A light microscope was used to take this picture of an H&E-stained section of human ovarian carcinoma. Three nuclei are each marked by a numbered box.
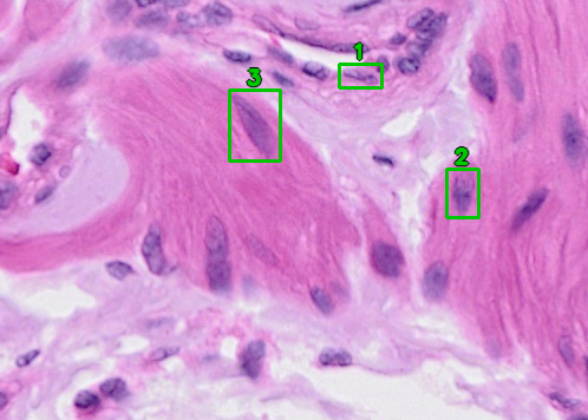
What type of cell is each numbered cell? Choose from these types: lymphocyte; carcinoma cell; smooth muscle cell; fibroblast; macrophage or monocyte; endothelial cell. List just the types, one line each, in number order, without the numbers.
endothelial cell
smooth muscle cell
smooth muscle cell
